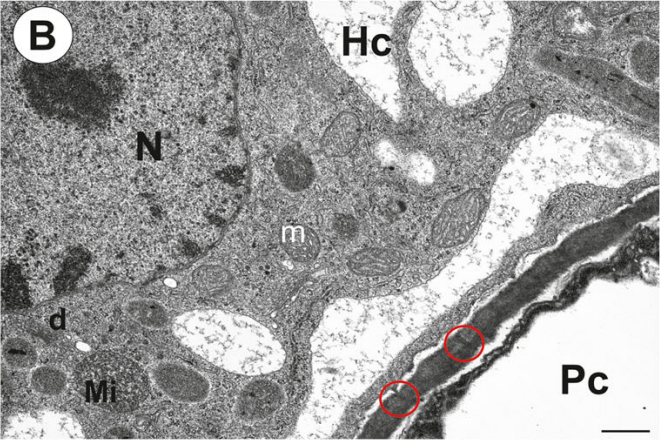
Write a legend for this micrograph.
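The wall between a glandular head cell and the pedestal cell runs diagonally across the lower right. The head cell has a large nucleus with dense chromatin patches and a cytoplasm rich in mitochondria, dictyosomes, round microbodies and pale vacuoles. The thick, dark-staining wall between the two cells is crossed by plasmodesmata.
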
